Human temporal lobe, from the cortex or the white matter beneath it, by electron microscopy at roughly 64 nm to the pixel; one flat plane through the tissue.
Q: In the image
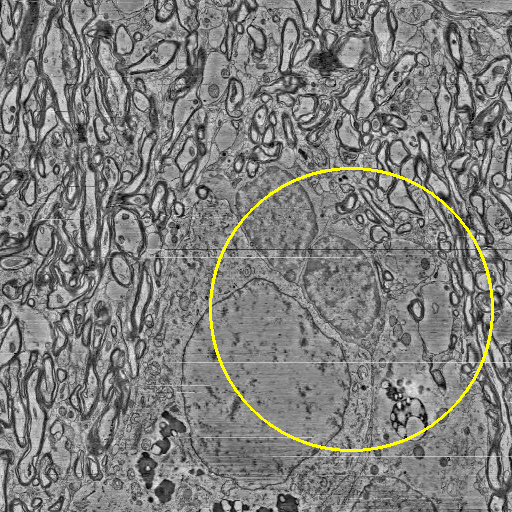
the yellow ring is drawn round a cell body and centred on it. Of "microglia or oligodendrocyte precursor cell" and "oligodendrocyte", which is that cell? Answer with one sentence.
The cell centred in the ring is an oligodendrocyte.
